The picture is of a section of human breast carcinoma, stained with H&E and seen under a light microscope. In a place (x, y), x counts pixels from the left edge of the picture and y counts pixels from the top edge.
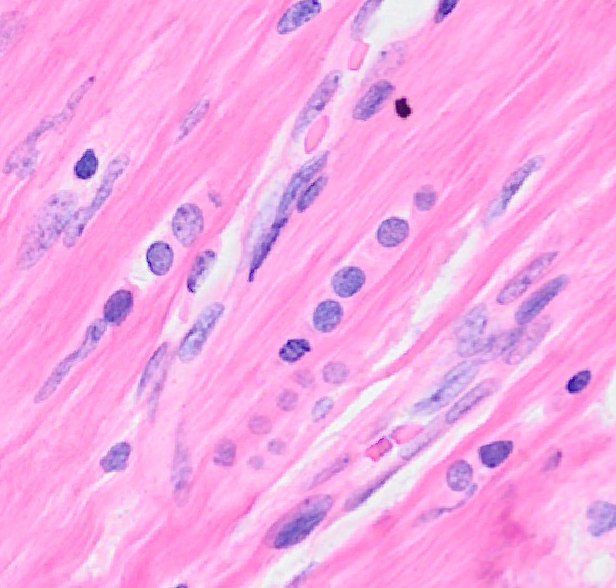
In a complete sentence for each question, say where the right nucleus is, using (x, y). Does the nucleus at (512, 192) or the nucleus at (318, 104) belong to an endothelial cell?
Of the two nuclei present, the one at (318, 104) is within an endothelial cell.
